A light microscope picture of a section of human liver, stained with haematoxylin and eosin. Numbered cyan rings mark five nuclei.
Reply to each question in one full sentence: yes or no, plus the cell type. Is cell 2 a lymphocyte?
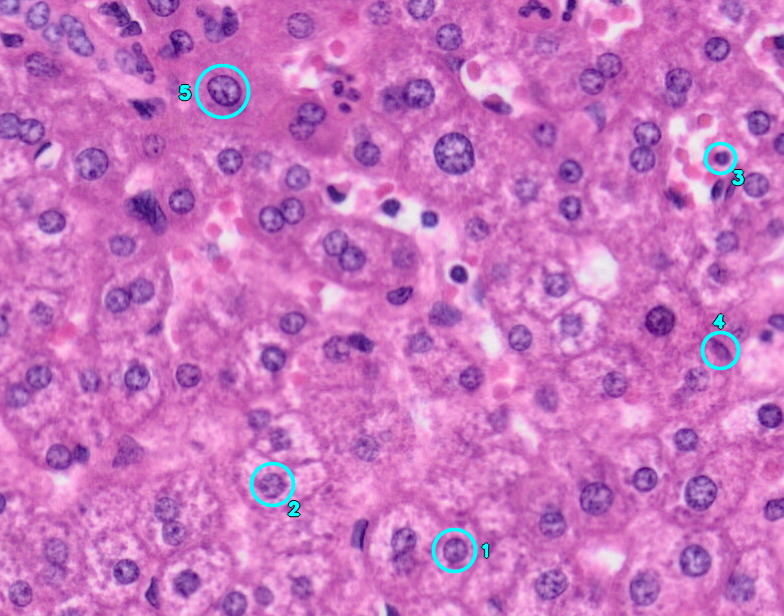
No, it's not a lymphocyte at number 2; that cell is a hepatocyte.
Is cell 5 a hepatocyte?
Yes, the cell distinguished by number 5 is a hepatocyte.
